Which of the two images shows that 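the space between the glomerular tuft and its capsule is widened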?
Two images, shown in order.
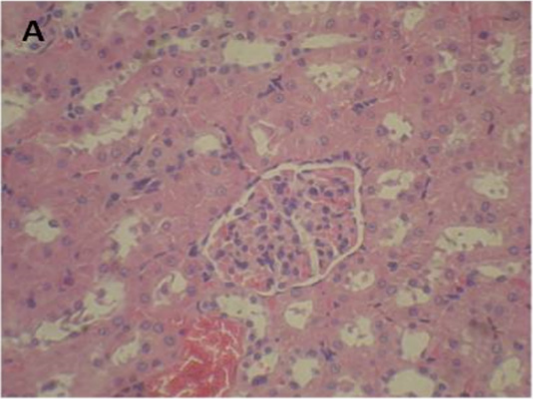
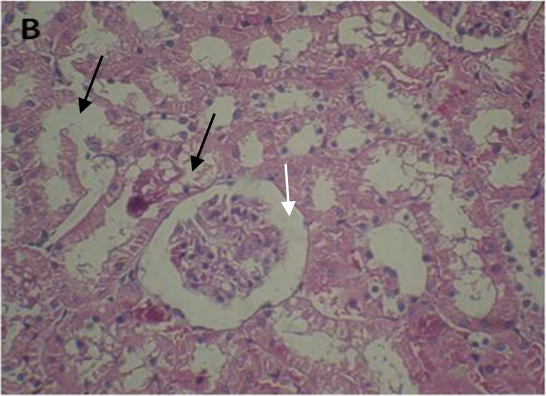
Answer: The second image.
